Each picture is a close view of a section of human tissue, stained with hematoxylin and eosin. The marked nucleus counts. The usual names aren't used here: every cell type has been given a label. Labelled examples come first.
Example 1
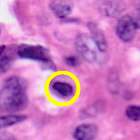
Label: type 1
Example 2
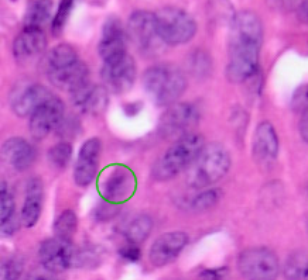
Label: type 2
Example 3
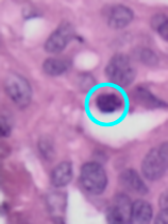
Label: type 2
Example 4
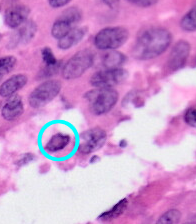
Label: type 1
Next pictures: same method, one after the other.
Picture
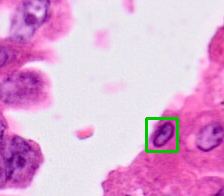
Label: type 1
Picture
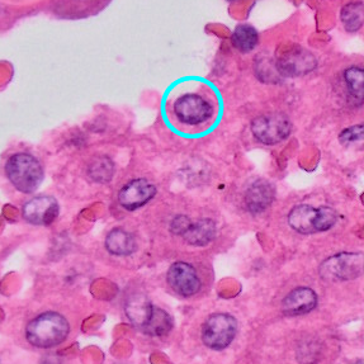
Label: type 1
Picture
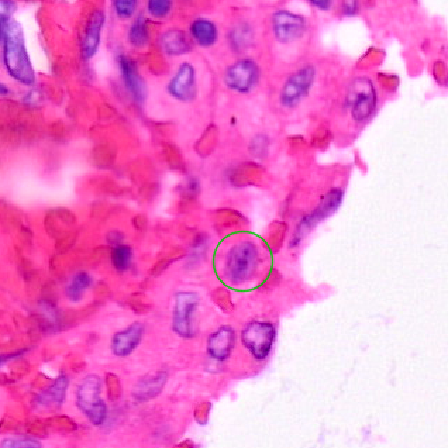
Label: type 1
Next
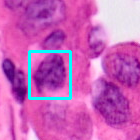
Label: type 2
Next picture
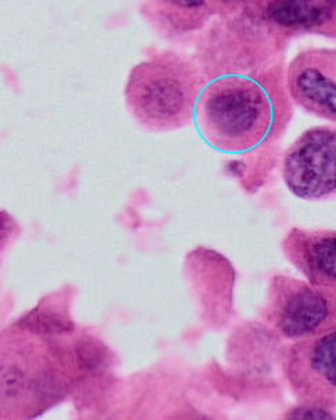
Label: type 2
